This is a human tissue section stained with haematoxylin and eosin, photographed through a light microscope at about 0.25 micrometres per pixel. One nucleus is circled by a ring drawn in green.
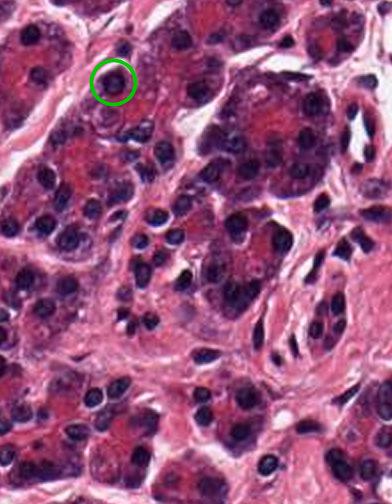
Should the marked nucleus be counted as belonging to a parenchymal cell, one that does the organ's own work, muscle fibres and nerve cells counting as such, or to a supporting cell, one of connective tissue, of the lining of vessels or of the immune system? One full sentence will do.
The parenchymal cell that owns the marked nucleus is a pancreatic acinar cell.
